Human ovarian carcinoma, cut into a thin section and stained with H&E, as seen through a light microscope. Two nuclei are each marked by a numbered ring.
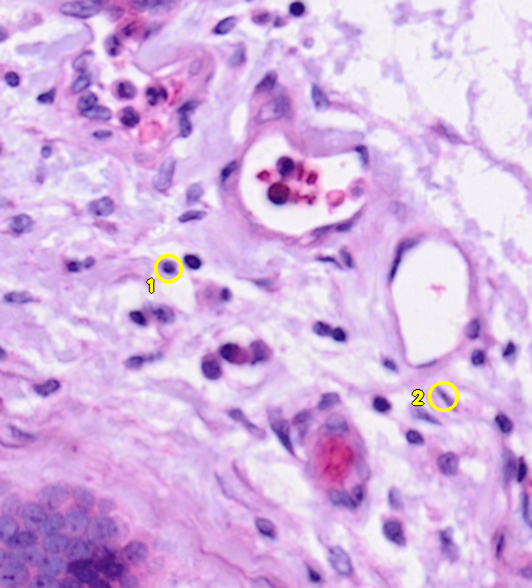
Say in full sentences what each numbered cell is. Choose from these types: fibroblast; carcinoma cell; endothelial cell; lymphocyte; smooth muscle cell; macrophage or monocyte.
Cell 1 is a lymphocyte. Cell 2 is a fibroblast.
